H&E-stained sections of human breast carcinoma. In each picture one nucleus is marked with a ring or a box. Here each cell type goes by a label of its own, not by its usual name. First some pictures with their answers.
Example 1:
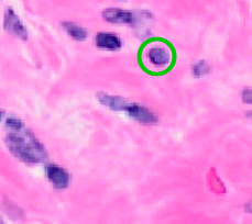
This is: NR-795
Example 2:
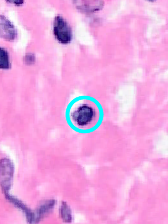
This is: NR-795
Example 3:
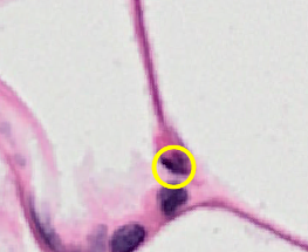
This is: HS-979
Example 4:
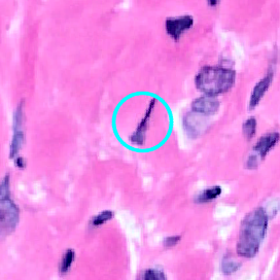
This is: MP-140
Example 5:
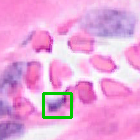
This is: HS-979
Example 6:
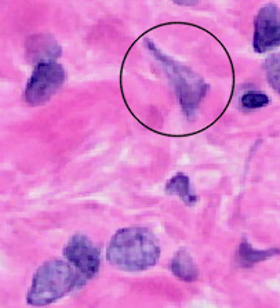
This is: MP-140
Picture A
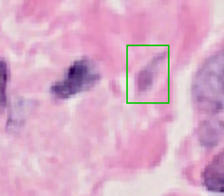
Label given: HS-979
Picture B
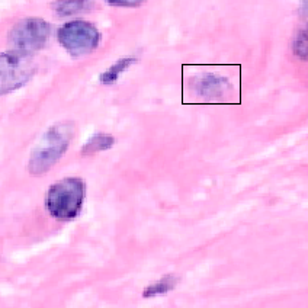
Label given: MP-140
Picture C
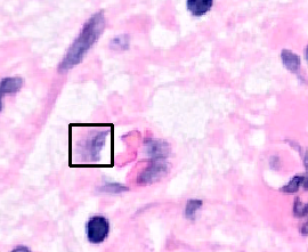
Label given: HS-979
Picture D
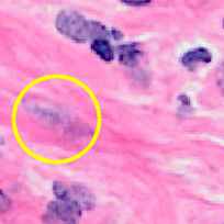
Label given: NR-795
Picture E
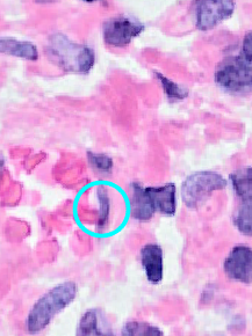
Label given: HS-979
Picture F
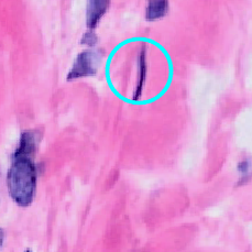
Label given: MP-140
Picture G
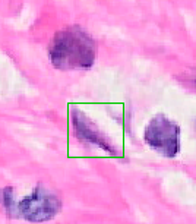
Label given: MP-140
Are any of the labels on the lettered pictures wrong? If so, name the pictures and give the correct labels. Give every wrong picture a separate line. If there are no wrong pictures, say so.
A: change HS-979 to MP-140
D: change NR-795 to MP-140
